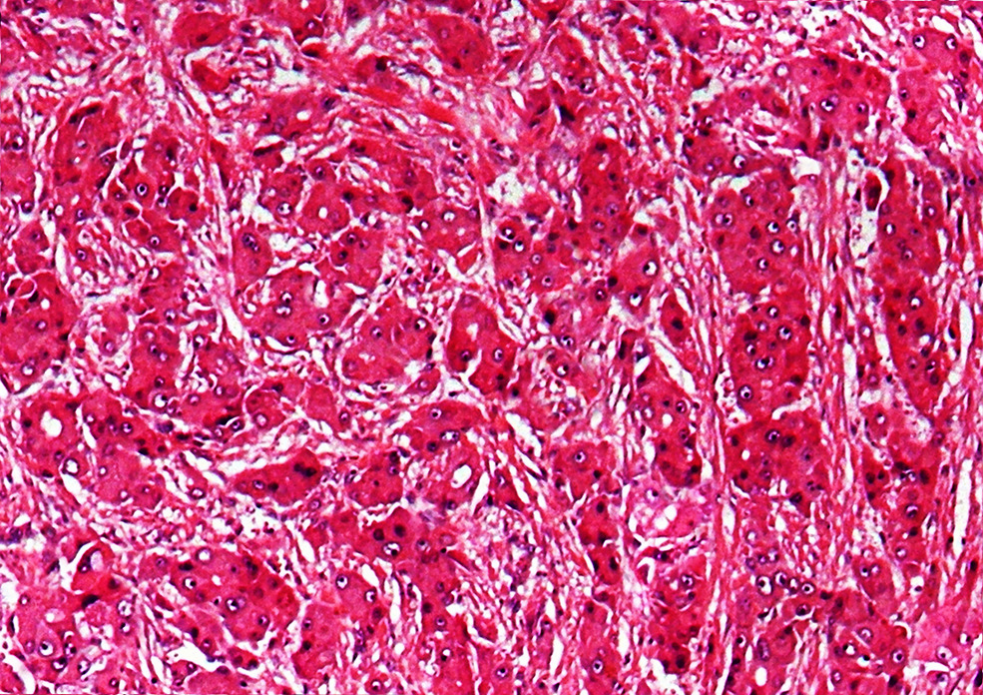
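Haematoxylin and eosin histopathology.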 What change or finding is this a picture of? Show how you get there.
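The cells have abundant cytoplasm stained deep pink-red. The pink cytoplasm far exceeds the nuclear area in most cells.
Predominantly eosinophilic cytoplasm.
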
